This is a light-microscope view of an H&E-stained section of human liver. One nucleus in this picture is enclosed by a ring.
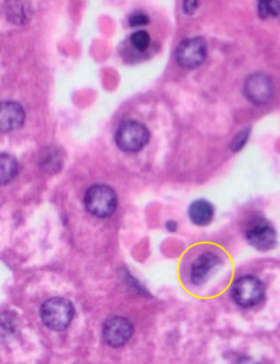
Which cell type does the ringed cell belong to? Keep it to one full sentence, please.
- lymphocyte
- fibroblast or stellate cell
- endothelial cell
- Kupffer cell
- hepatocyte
Right, so the ringed cell is a Kupffer cell, to answer that.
